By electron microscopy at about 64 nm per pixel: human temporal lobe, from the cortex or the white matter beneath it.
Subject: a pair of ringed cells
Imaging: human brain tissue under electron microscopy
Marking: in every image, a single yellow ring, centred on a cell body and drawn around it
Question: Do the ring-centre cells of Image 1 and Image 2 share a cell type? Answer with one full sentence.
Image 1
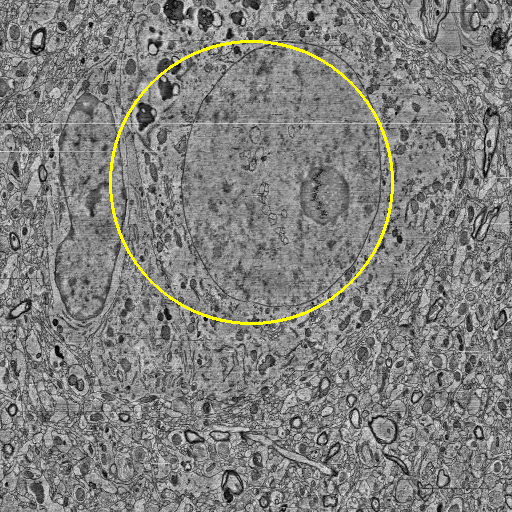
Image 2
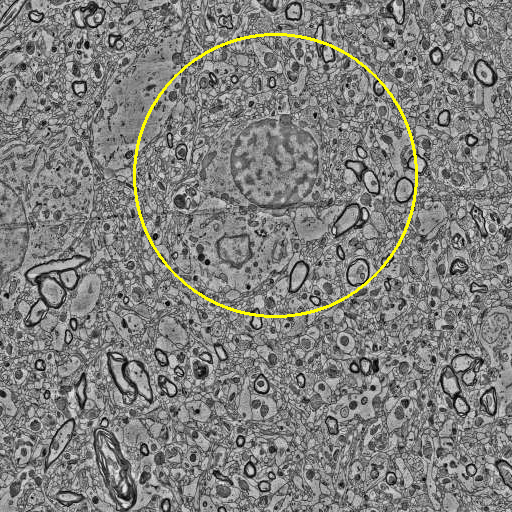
No, at the ring centres in the images sit cells of two separate types.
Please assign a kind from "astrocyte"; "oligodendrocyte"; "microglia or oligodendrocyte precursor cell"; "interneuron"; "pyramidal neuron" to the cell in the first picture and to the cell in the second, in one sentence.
In the first picture we have a pyramidal neuron, and in the second, an oligodendrocyte.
